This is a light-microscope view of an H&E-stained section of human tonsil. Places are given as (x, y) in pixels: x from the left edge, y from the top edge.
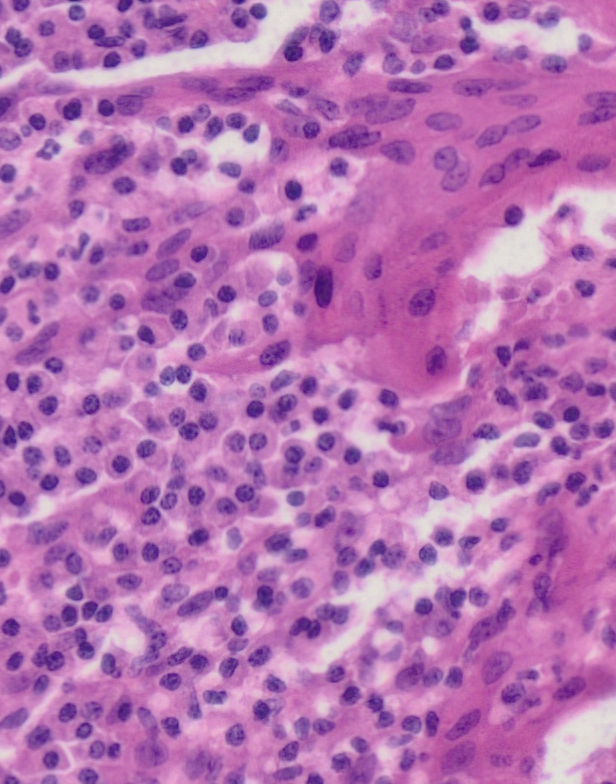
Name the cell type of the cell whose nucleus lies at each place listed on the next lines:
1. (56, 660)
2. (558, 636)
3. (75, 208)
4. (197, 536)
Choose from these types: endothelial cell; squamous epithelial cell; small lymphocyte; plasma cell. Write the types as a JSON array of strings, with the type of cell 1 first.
["plasma cell", "squamous epithelial cell", "plasma cell", "plasma cell"]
